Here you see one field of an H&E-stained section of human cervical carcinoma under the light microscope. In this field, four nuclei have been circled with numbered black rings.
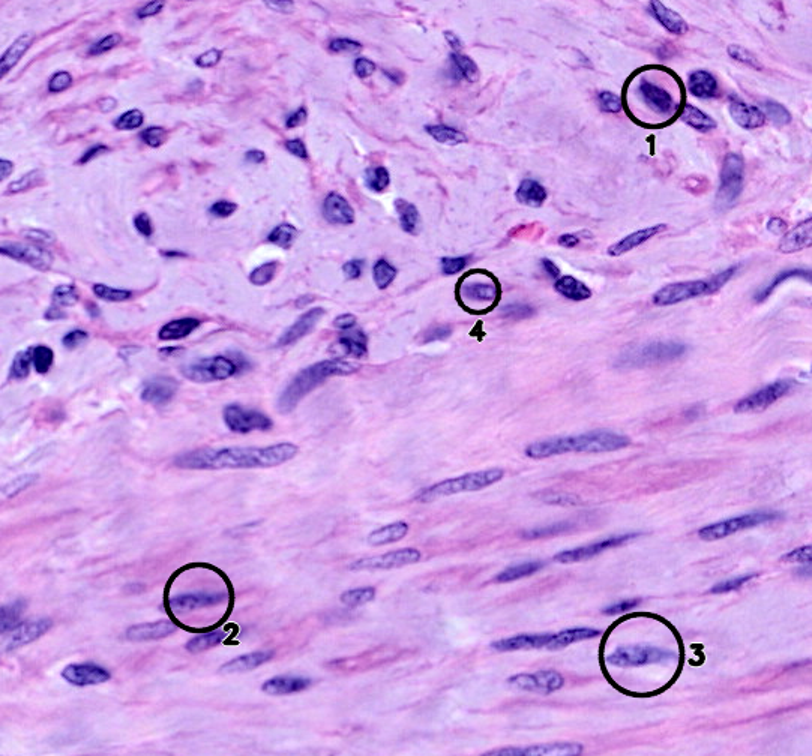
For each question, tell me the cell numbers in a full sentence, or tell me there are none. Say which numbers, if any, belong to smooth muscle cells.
The numbers 2 and 4 refer to cells that are smooth muscle cells.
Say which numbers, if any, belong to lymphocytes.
Among the numbered cells, a lymphocyte occurs only once, as cell 1.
